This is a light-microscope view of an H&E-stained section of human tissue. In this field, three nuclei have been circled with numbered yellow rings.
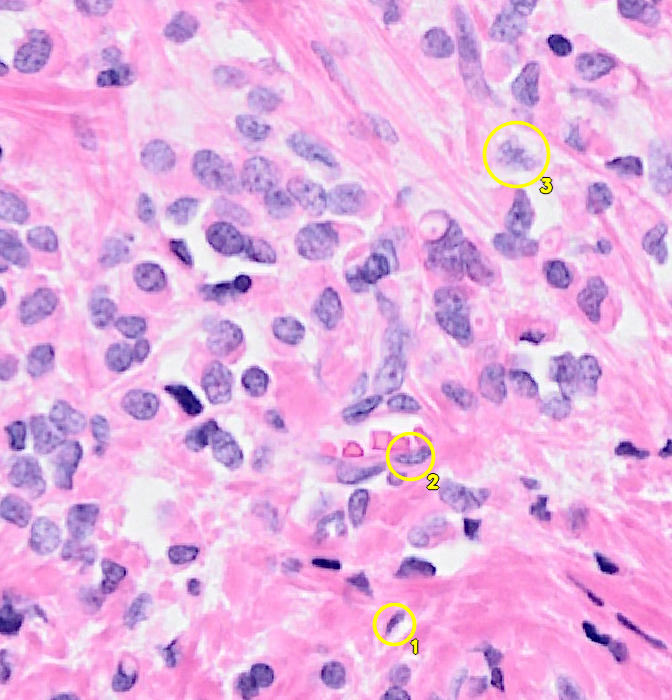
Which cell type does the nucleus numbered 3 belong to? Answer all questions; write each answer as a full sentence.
The numbered cell 3 is identified here as a fibroblast.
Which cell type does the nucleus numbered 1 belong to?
The nucleus marked 1 is the nucleus of a fibroblast.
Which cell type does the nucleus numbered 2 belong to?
The cell pointed out by number 2 is an endothelial cell.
